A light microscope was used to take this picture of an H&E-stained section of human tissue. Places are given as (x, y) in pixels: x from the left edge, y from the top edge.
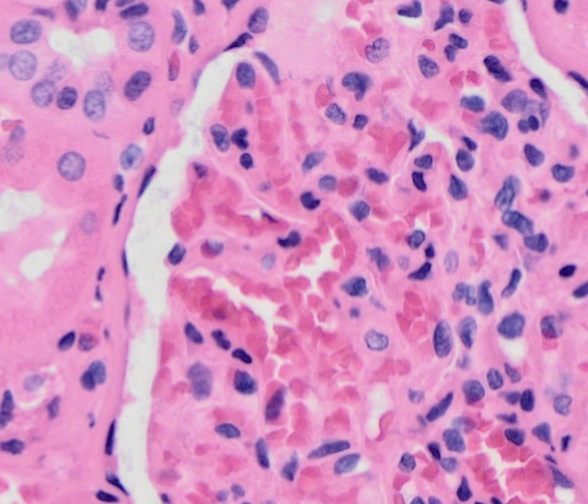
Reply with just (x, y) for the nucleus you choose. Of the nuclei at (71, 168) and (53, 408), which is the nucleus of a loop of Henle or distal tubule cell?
(53, 408)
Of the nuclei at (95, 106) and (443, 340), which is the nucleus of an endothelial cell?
(443, 340)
